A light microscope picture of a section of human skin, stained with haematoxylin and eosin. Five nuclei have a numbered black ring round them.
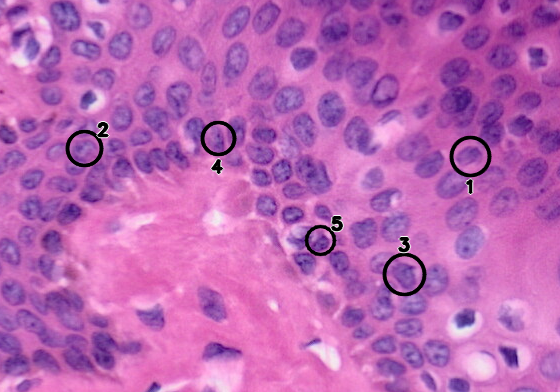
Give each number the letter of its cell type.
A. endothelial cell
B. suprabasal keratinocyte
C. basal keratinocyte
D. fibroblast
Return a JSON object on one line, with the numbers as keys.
{"1": "B", "2": "B", "3": "B", "4": "C", "5": "C"}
